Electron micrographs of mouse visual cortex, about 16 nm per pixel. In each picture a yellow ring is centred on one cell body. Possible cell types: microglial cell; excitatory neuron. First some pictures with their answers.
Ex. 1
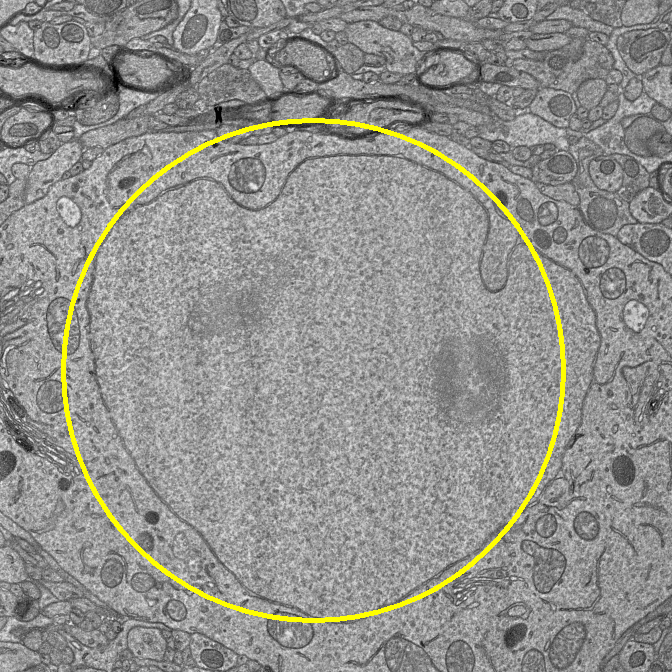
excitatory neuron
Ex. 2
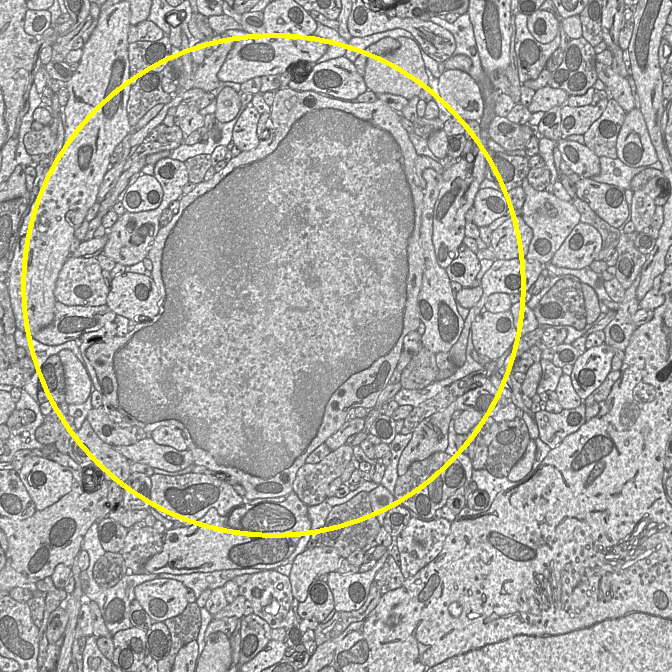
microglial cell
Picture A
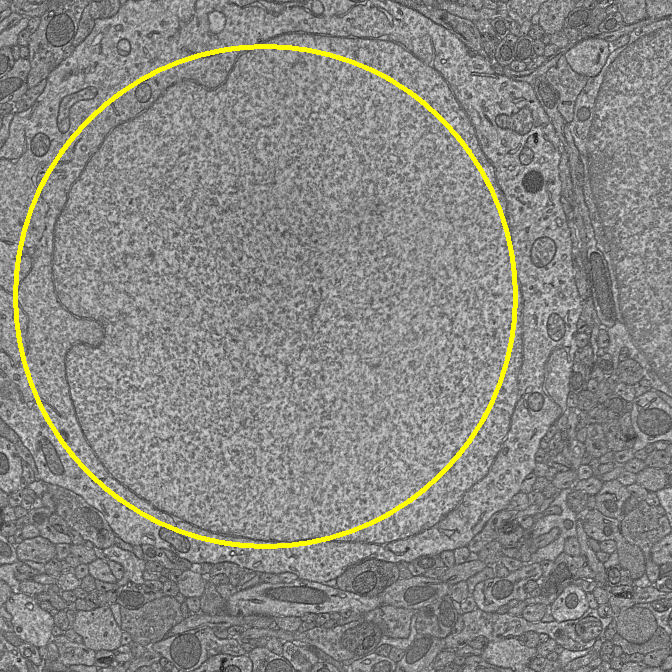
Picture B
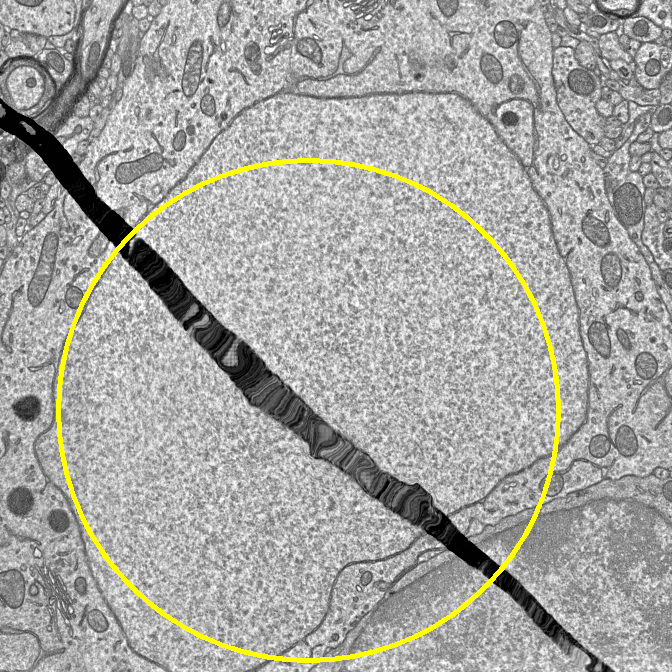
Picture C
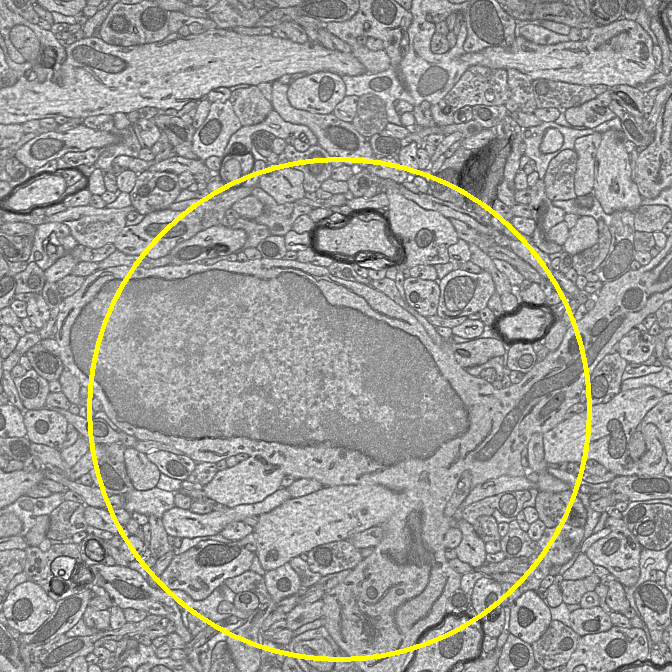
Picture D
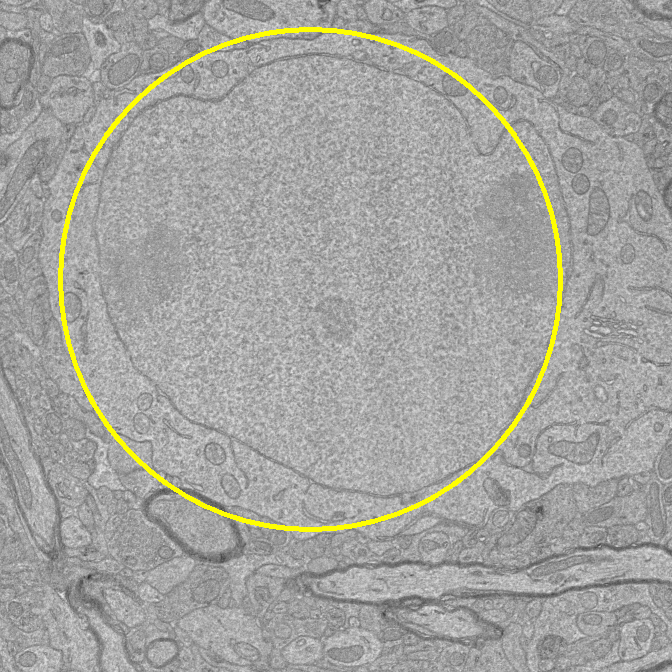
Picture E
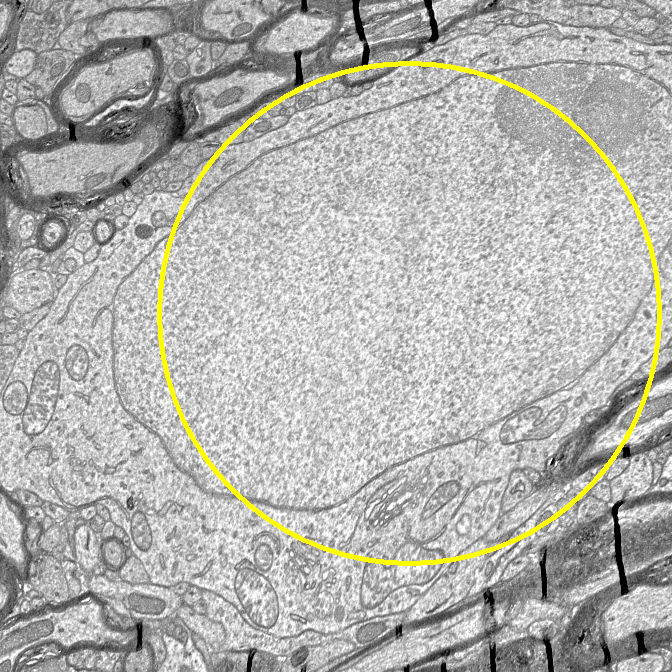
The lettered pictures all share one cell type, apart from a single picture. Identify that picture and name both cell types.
Exception: C, showing microglial cell. Remaining pictures: excitatory neuron.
